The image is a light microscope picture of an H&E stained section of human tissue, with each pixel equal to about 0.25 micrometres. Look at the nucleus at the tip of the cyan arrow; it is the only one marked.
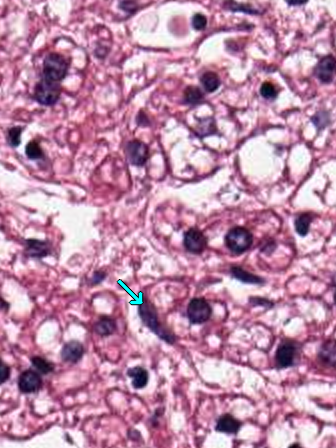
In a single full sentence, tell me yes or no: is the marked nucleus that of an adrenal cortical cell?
No, the marked nucleus is not borne by an adrenal cortical cell; it is borne by a supporting cell.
